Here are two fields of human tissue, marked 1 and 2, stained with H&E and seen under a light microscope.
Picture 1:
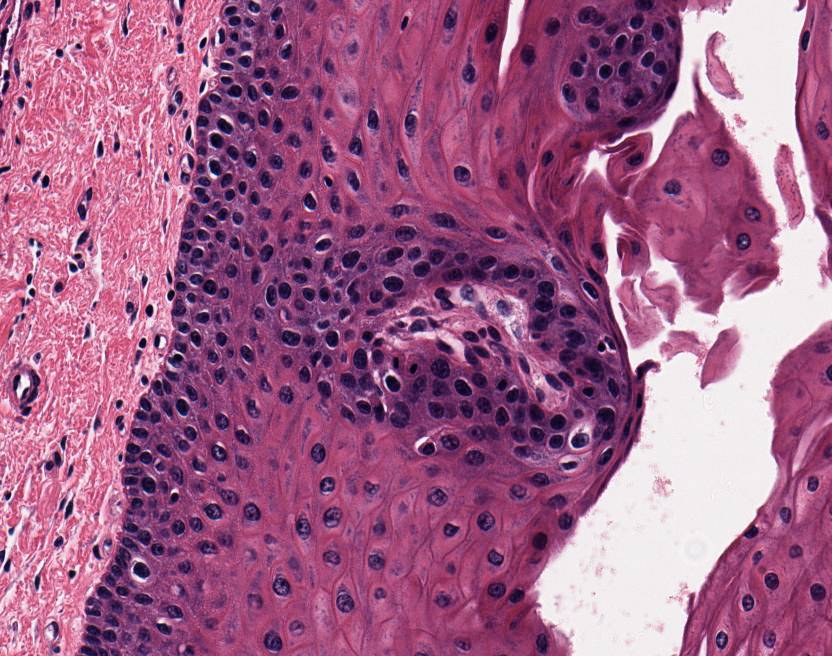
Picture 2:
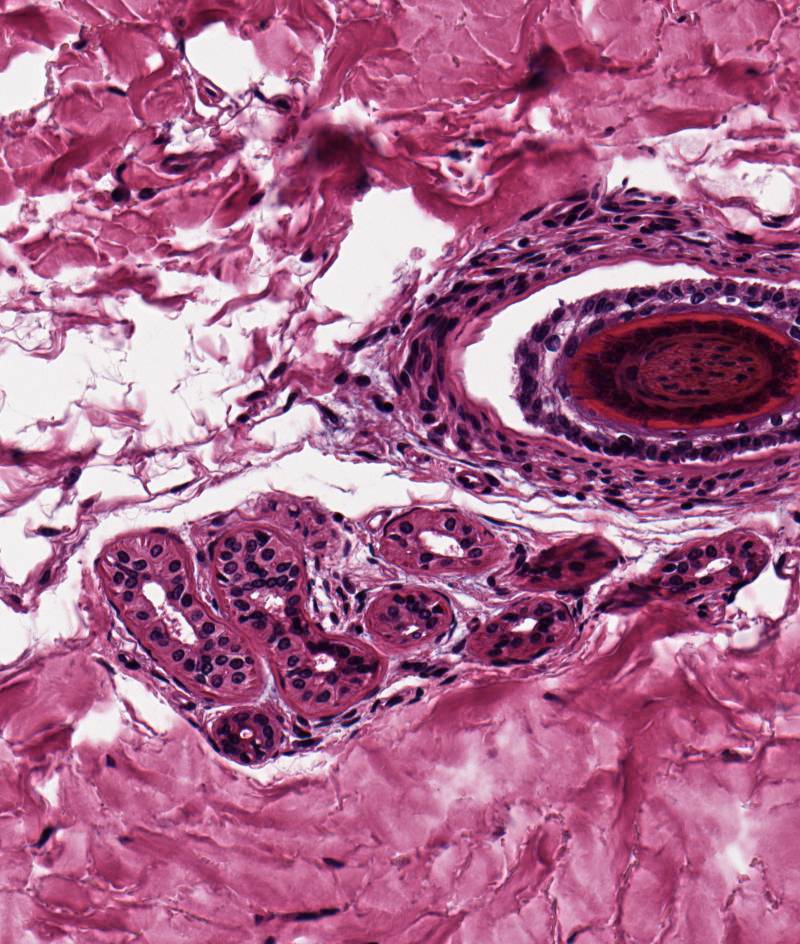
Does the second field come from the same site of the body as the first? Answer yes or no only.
no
